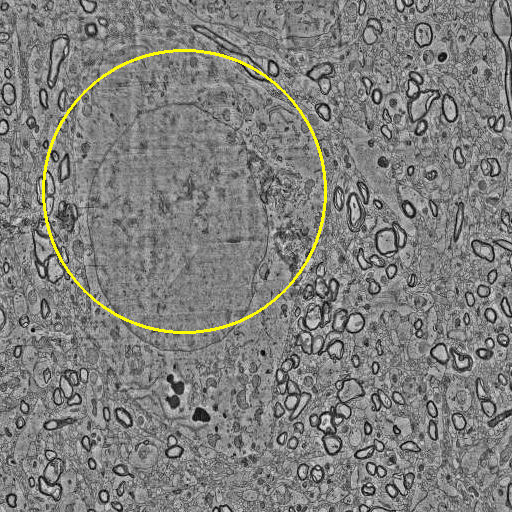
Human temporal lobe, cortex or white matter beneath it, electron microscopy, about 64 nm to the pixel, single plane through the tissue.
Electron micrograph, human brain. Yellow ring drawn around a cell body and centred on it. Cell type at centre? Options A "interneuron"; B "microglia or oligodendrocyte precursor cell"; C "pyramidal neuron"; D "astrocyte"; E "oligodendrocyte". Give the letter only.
C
